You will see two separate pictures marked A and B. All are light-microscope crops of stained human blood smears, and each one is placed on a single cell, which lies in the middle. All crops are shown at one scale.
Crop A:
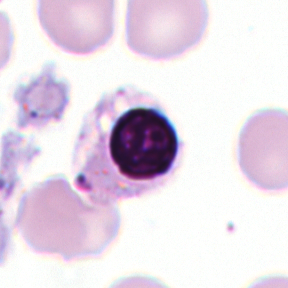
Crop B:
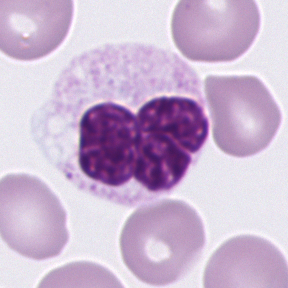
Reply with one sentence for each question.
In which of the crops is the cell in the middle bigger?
Crop B holds the larger cell; it covers about 2.5 times the area of the cell in crop A.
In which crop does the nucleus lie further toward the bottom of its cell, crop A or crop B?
In crop B the nucleus is shifted more toward the bottom.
